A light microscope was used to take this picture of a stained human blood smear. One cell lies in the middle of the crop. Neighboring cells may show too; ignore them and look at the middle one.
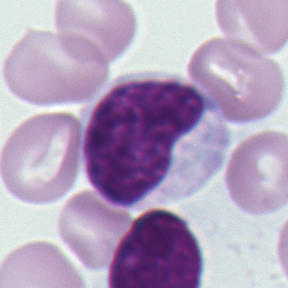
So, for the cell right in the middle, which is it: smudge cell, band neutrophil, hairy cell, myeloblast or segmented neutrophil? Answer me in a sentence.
In the centre of this crop there is a band neutrophil.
